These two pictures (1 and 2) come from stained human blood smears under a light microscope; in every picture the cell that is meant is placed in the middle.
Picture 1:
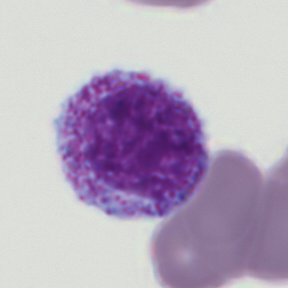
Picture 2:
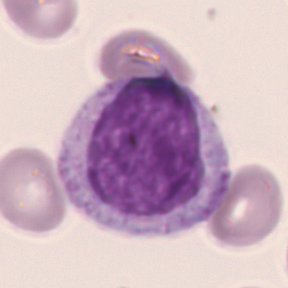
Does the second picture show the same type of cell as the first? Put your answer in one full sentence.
Yes, both are myelocytes.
